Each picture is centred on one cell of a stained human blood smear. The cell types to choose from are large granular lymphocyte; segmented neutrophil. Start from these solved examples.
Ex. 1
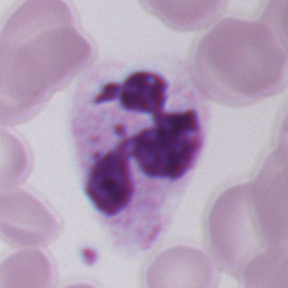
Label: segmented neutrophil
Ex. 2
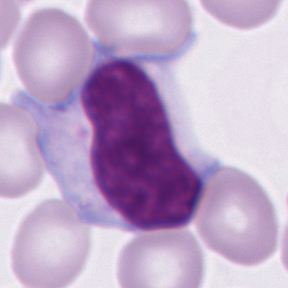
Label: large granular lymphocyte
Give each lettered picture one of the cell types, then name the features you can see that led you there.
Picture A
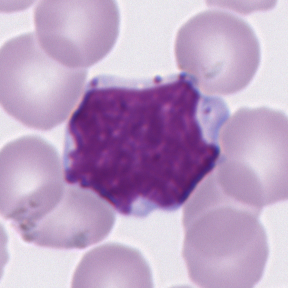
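Label: large granular lymphocyte. The cytoplasm is a scant, very pale bluish rim around the nucleus.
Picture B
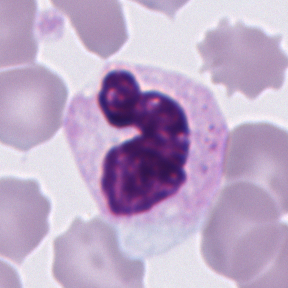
Label: segmented neutrophil. The cytoplasm is plentiful and pale pink-lilac.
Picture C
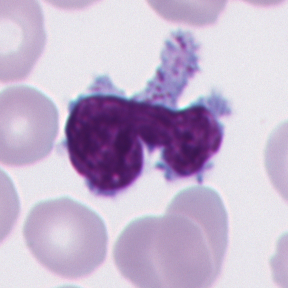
Label: large granular lymphocyte. The cytoplasm is scant and pale lilac-blue.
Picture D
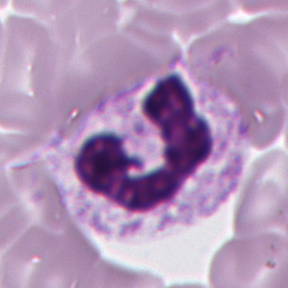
Label: segmented neutrophil. The cytoplasm is abundant and pale pinkish-lilac.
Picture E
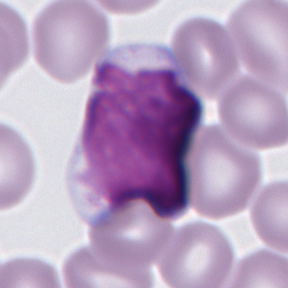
Label: large granular lymphocyte. The nucleus fills most of the cell, leaving a narrow rim of cytoplasm.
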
